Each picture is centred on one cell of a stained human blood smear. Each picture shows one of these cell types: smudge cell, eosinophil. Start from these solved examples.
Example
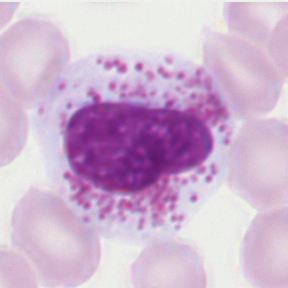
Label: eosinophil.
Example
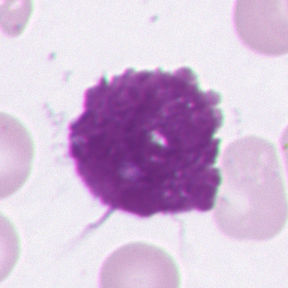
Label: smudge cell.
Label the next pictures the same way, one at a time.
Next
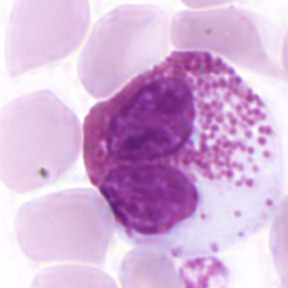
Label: eosinophil.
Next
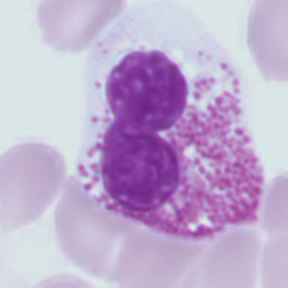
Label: eosinophil.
